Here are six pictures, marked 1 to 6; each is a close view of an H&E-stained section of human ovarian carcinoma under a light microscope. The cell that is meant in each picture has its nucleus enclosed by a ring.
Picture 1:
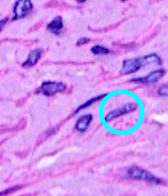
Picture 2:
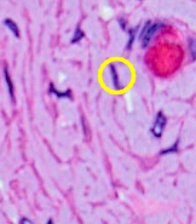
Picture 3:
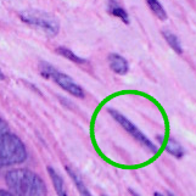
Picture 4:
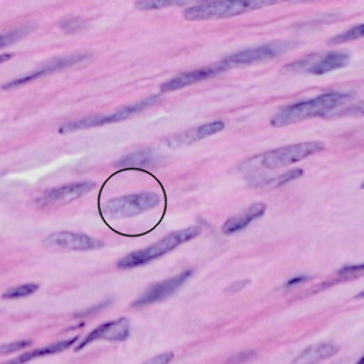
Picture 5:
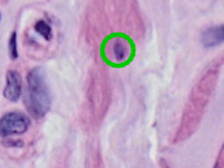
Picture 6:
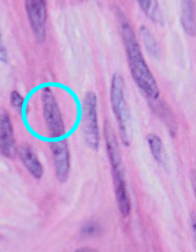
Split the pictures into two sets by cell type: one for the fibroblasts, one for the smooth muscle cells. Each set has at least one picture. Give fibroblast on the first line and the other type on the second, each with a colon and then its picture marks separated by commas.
fibroblast: 1, 2, 3
smooth muscle cell: 4, 5, 6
